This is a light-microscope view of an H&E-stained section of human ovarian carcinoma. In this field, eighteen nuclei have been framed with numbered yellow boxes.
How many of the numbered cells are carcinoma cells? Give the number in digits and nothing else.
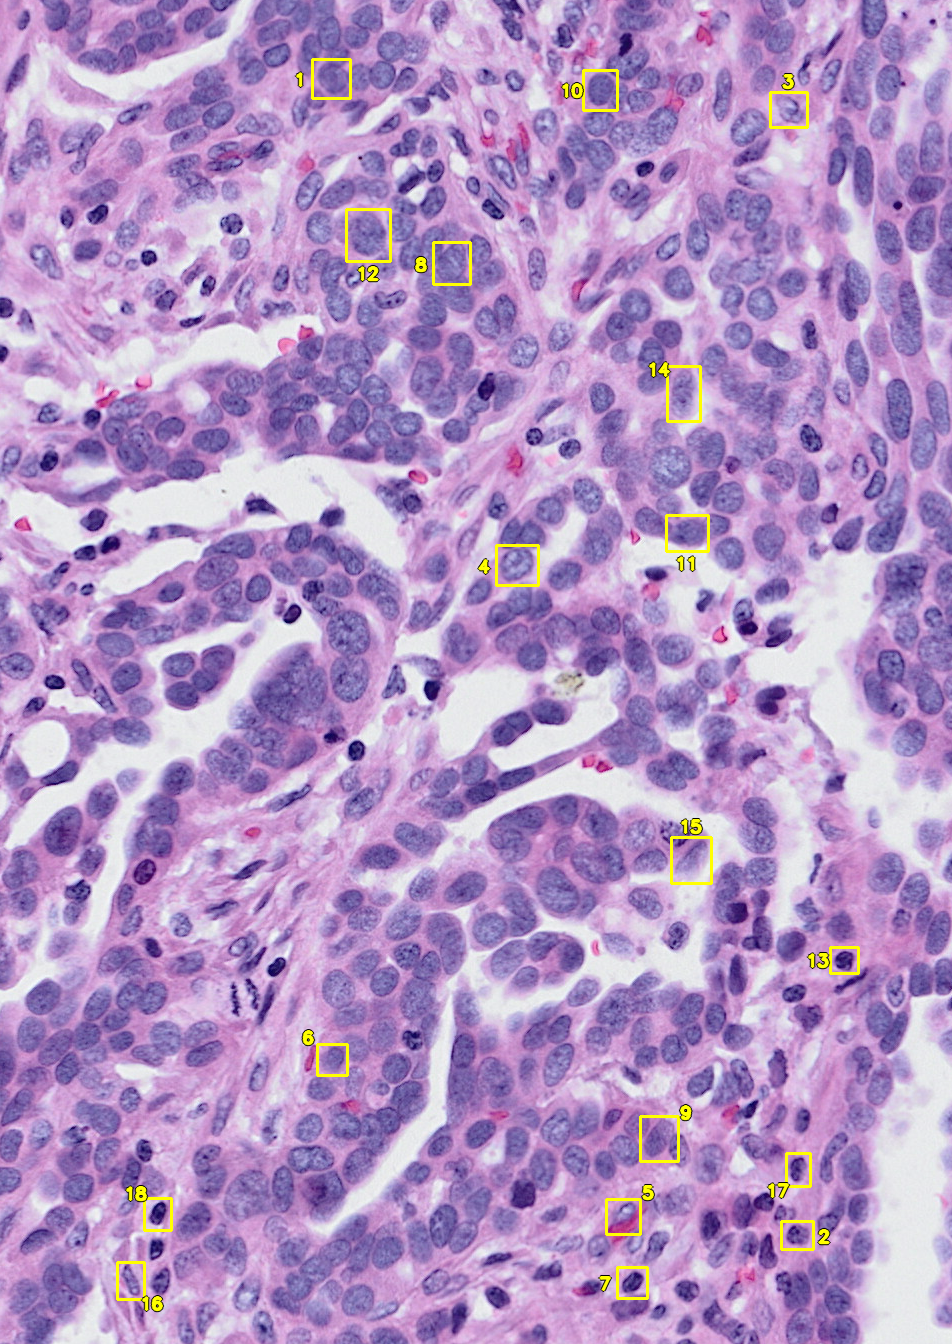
10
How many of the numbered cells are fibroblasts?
2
